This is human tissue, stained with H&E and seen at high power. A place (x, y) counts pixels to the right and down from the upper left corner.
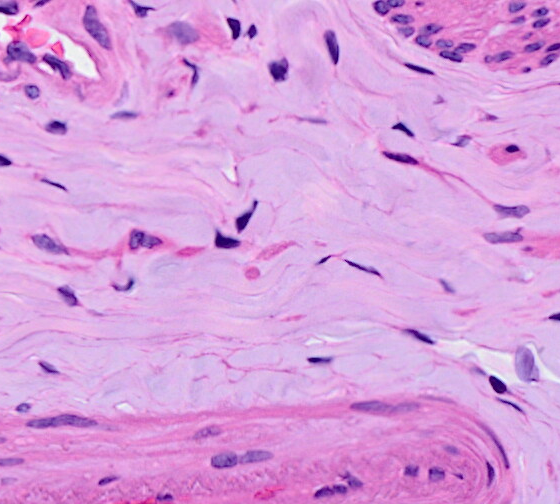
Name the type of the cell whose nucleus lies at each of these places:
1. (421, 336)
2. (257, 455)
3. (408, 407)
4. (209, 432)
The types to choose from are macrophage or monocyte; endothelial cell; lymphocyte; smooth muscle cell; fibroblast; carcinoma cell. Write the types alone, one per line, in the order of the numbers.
fibroblast
smooth muscle cell
smooth muscle cell
smooth muscle cell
